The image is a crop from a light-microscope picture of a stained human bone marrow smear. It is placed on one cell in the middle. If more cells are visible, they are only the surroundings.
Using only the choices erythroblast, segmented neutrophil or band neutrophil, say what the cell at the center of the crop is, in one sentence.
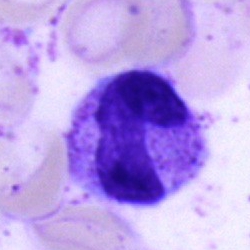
Located at the centre of the crop is a band neutrophil.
